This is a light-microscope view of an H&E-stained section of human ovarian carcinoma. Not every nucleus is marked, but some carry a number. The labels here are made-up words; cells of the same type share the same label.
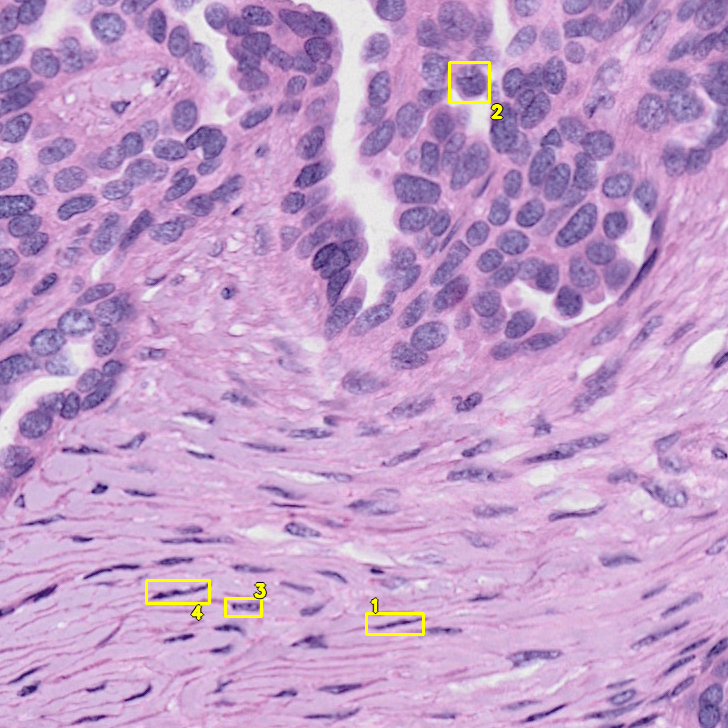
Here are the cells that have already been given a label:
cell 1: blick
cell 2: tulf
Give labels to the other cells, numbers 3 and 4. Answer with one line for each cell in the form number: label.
3: blick
4: blick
